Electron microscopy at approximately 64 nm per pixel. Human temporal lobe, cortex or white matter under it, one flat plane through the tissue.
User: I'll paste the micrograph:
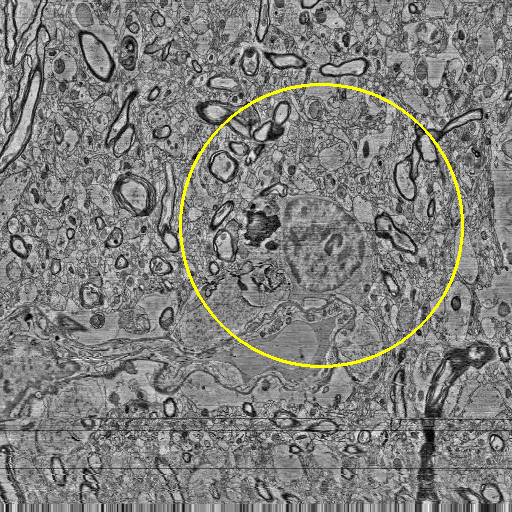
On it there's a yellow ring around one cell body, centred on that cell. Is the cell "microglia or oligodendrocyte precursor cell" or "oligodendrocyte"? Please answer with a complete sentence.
The cell ringed in yellow is an oligodendrocyte.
